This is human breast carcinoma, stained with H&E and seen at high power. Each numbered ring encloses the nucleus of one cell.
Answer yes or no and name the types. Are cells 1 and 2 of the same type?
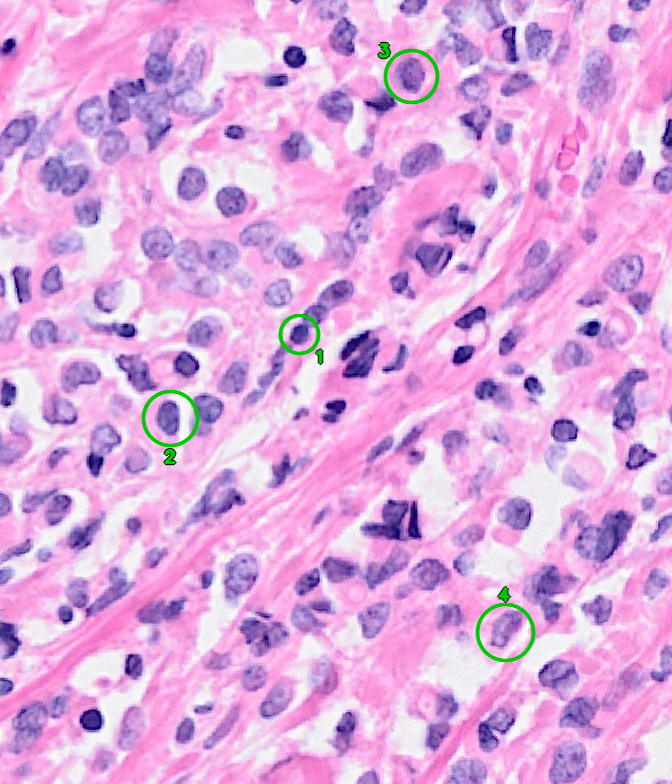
No, the cell bearing number 1 is a lymphocyte, while the one bearing number 2 is a carcinoma cell.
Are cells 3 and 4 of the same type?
Yes, that cells 3 and 4 are both carcinoma cells holds true.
